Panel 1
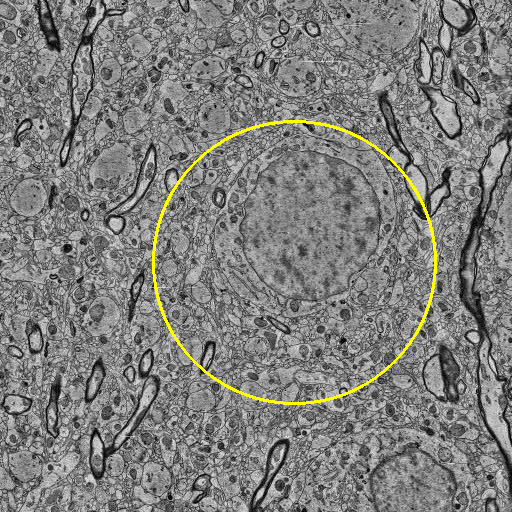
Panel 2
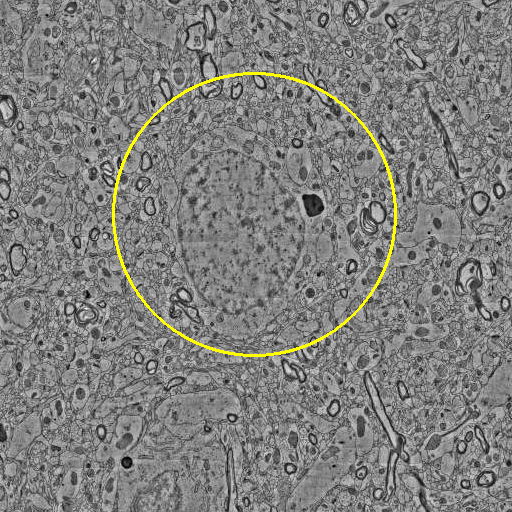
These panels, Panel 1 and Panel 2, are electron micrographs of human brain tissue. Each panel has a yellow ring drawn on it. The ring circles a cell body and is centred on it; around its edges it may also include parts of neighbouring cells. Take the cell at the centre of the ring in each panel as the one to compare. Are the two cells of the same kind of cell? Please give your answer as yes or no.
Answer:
yes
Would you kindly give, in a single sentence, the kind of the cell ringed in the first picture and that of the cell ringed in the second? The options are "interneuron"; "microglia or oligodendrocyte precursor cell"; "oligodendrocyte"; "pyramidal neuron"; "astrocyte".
The first and the second cell are each an interneuron.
